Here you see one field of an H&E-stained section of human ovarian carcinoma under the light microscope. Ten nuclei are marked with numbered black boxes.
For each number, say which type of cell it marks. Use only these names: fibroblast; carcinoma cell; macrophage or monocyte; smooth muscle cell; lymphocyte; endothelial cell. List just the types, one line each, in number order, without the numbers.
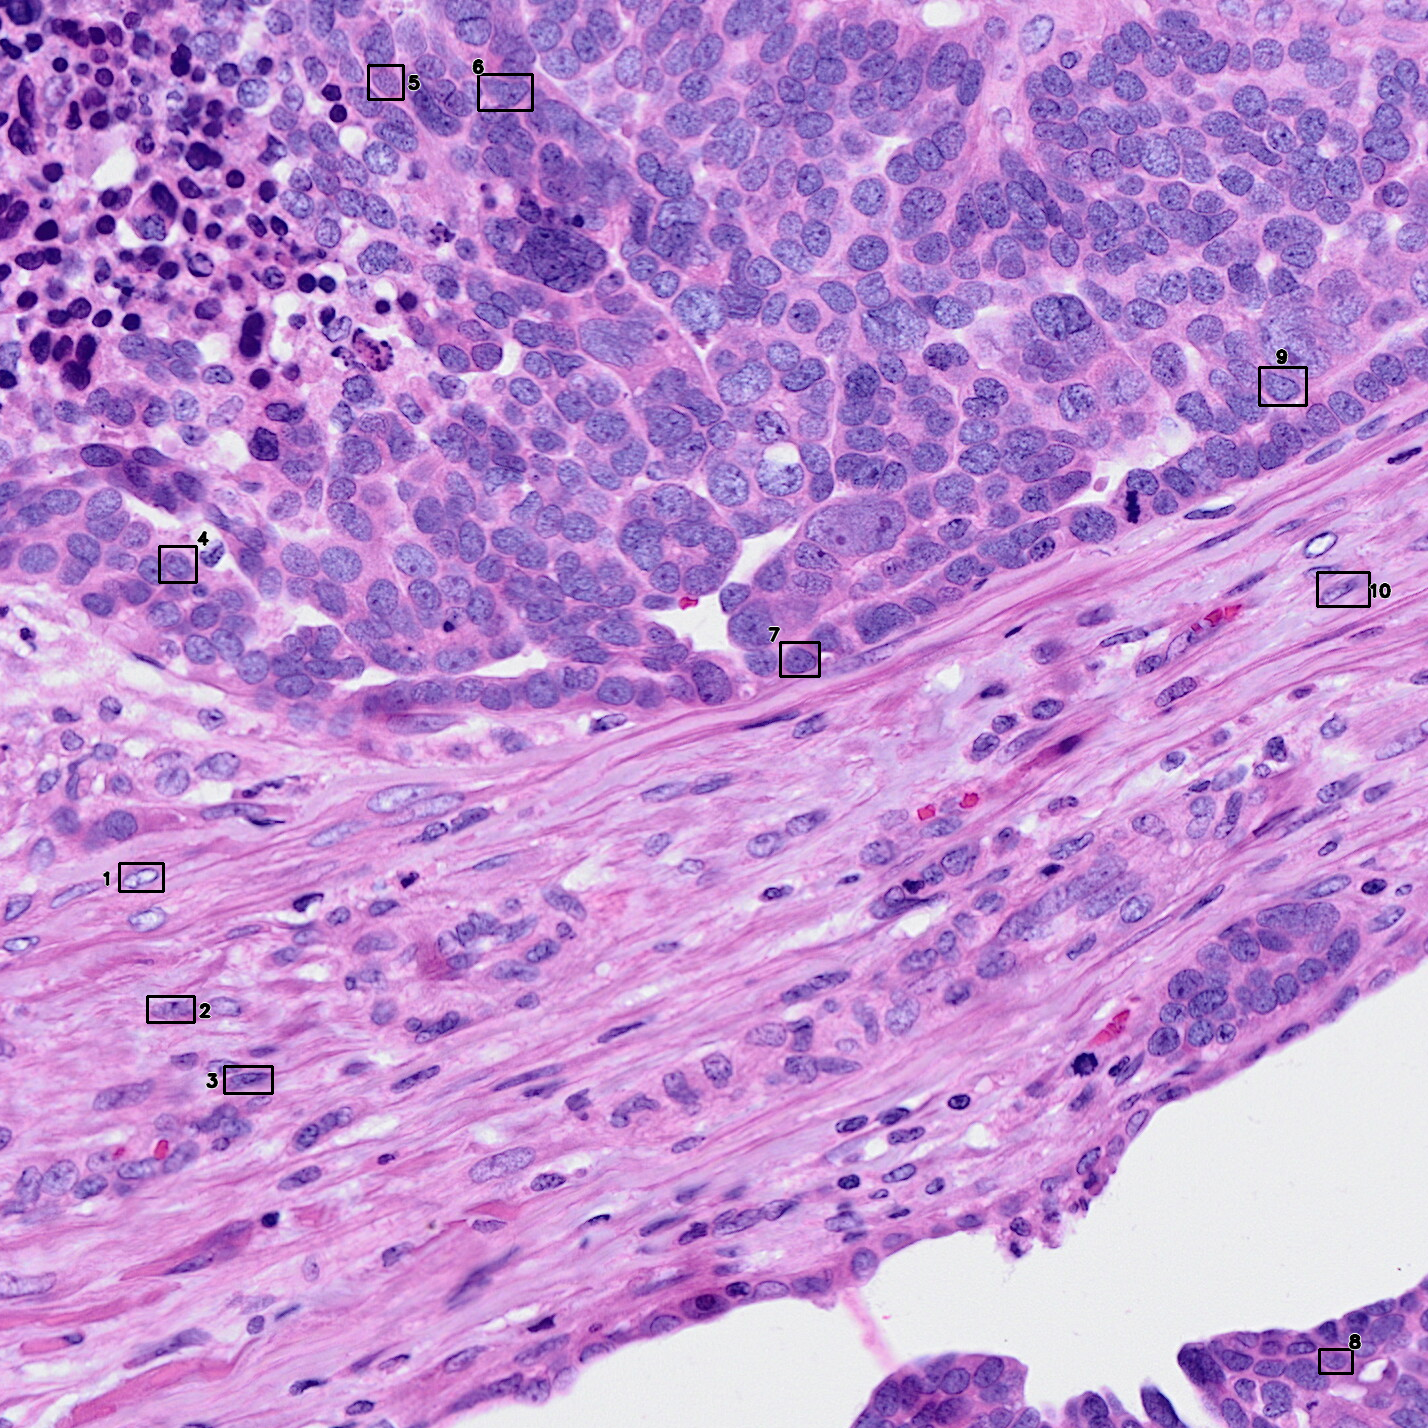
fibroblast
fibroblast
fibroblast
carcinoma cell
carcinoma cell
carcinoma cell
carcinoma cell
carcinoma cell
carcinoma cell
fibroblast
